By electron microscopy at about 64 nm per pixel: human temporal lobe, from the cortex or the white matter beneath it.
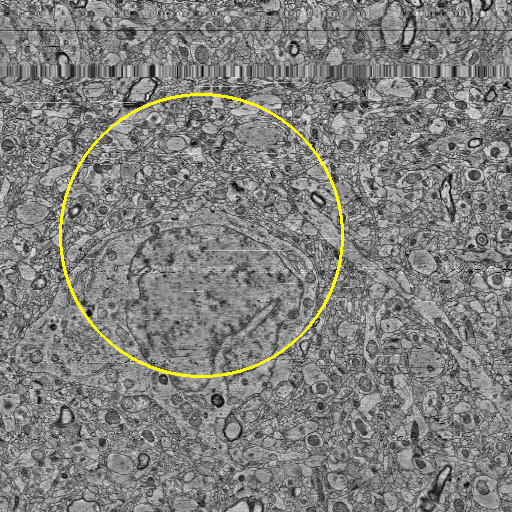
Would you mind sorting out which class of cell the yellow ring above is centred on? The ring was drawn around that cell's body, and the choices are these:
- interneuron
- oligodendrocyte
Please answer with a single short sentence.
This is the cell body of an interneuron.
